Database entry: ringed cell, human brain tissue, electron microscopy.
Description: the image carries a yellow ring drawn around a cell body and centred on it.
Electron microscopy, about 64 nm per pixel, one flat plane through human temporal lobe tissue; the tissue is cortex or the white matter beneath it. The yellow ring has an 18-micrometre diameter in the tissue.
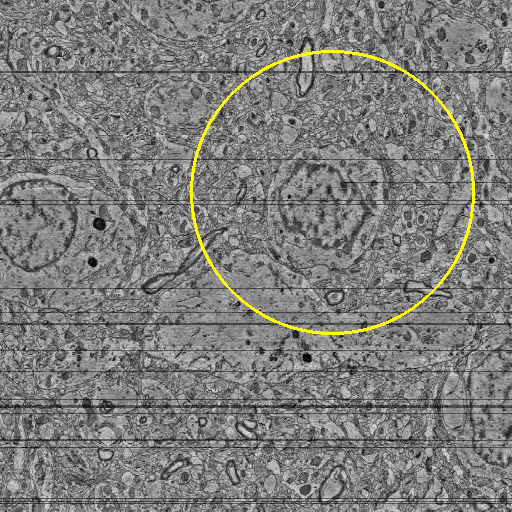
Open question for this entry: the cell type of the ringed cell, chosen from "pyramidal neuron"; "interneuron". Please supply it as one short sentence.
The ringed cell is an interneuron.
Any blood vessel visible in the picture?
No.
